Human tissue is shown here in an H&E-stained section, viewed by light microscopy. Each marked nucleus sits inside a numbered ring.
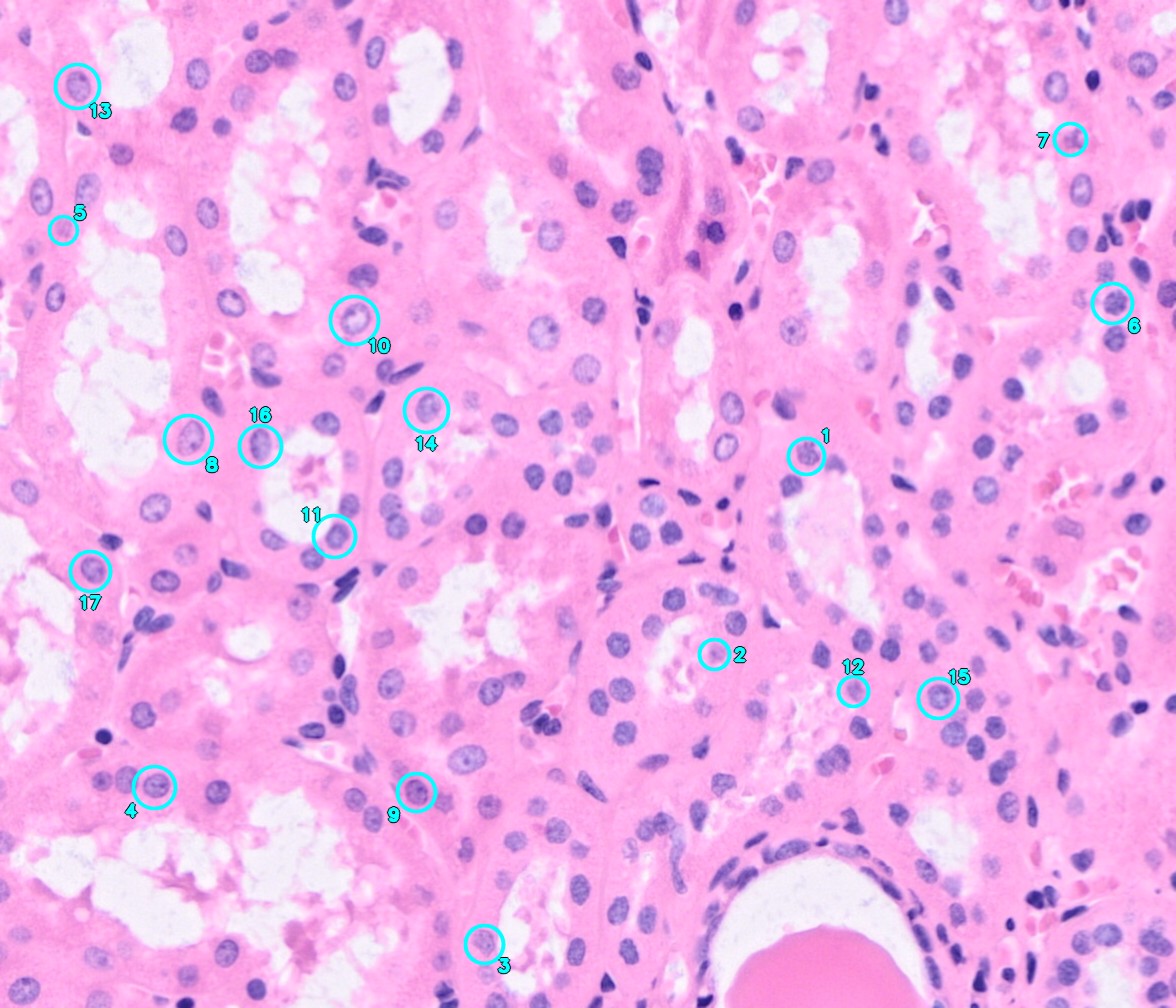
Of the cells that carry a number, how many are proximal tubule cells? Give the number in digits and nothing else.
8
